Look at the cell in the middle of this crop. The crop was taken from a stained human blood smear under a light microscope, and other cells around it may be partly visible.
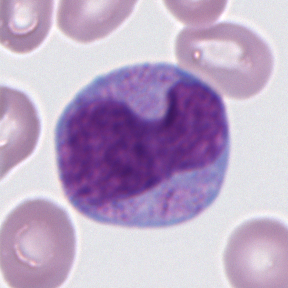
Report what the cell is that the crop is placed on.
atypical promyelocyte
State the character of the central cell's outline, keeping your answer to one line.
A smooth, projection-free outline is what this cell has.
